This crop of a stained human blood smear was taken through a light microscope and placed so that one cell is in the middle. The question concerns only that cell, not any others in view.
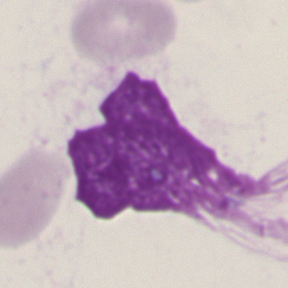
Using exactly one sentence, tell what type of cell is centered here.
The cell shown in the center of this light-microscope crop is a smudge cell.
